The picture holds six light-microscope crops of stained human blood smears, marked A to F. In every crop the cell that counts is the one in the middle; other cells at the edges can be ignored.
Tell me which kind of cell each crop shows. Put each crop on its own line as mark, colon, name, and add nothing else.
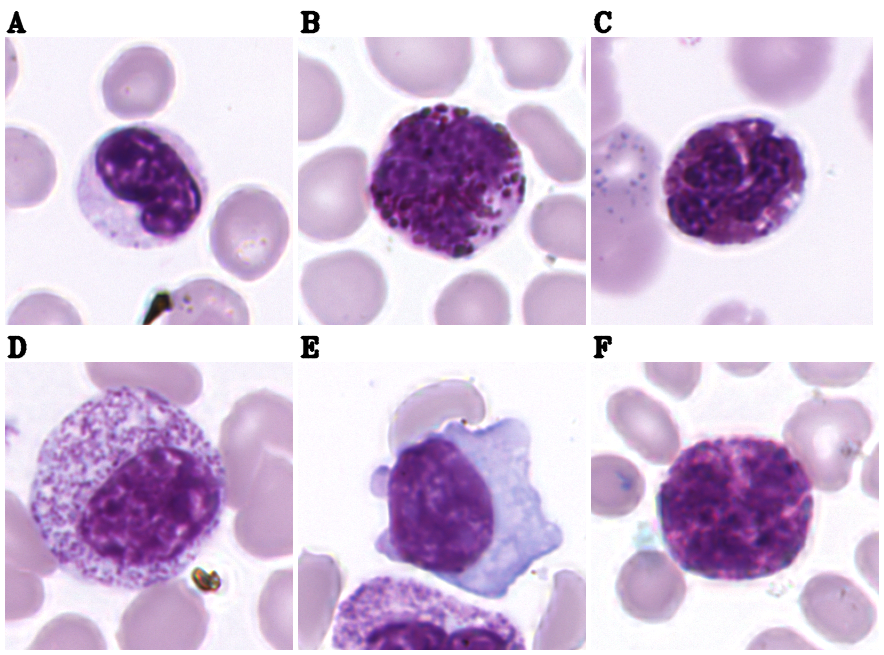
A: band neutrophil
B: basophil
C: eosinophil
D: myelocyte
E: plasma cell
F: basophil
